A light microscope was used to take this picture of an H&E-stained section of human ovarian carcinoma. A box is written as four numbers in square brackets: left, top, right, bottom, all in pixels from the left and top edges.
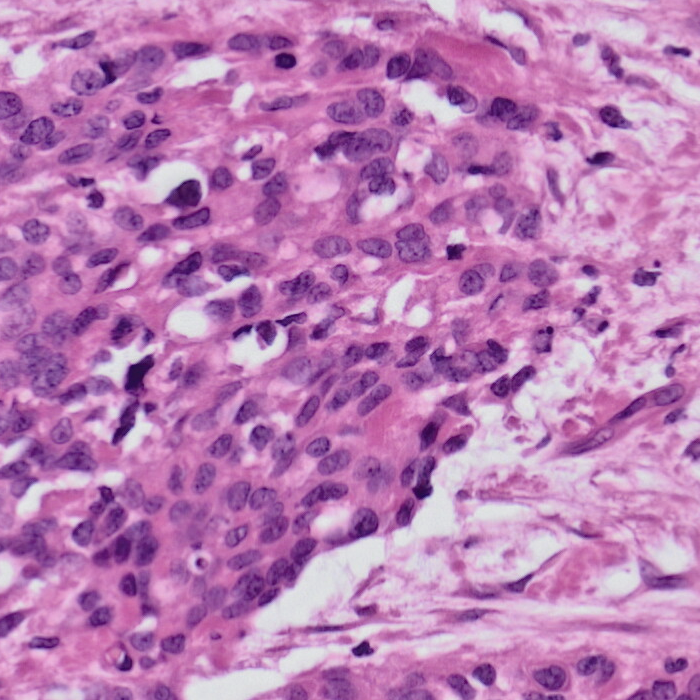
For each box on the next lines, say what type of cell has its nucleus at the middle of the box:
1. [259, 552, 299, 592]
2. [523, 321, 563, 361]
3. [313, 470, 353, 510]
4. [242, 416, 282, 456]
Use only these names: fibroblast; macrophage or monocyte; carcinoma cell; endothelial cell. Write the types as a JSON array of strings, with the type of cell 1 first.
["carcinoma cell", "macrophage or monocyte", "carcinoma cell", "macrophage or monocyte"]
